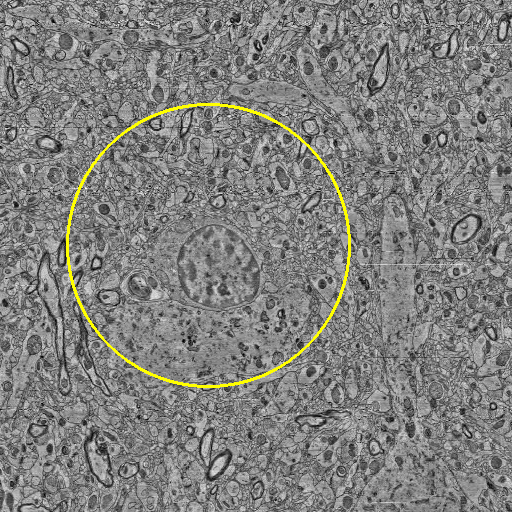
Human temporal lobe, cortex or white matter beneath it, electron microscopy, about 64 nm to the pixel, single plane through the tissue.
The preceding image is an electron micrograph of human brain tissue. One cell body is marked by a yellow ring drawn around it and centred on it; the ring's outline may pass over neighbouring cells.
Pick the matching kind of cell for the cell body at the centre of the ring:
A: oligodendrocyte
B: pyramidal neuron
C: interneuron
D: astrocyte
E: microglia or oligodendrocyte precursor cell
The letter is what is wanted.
A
